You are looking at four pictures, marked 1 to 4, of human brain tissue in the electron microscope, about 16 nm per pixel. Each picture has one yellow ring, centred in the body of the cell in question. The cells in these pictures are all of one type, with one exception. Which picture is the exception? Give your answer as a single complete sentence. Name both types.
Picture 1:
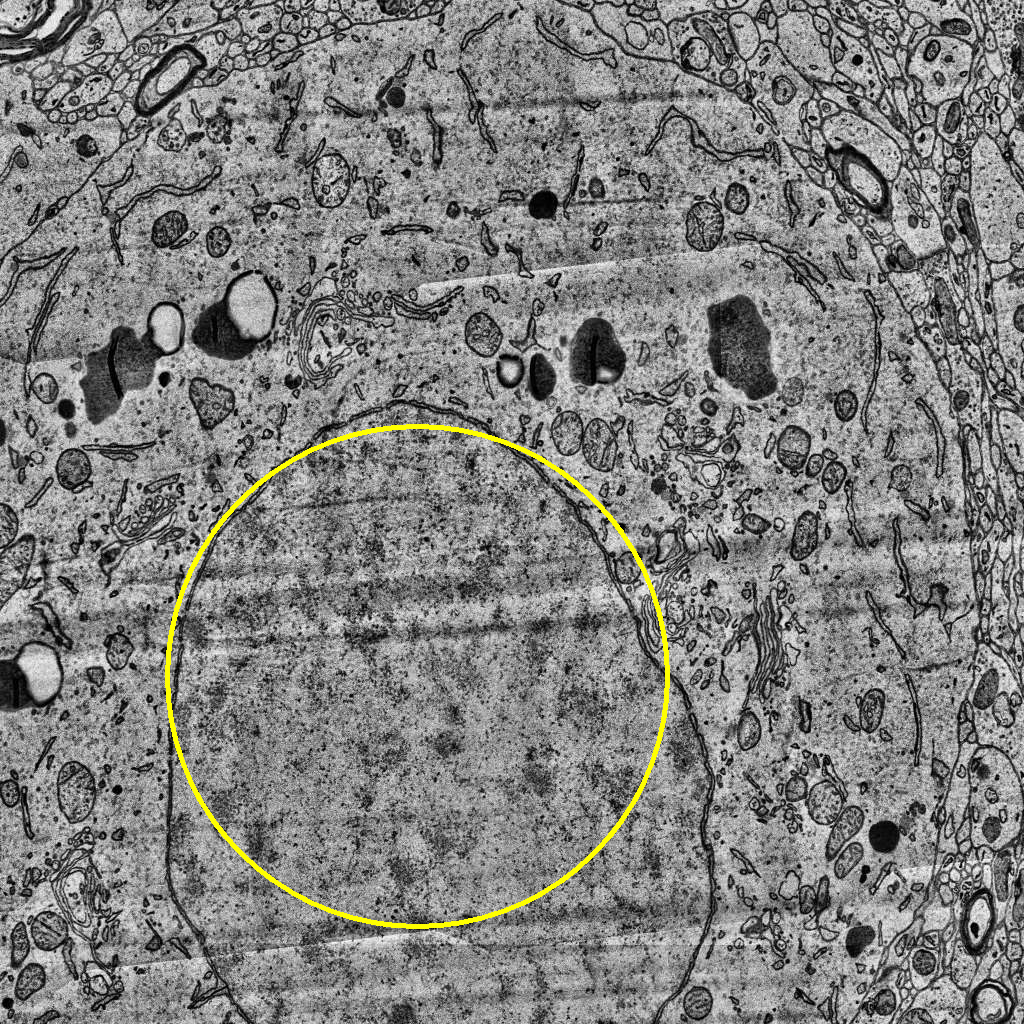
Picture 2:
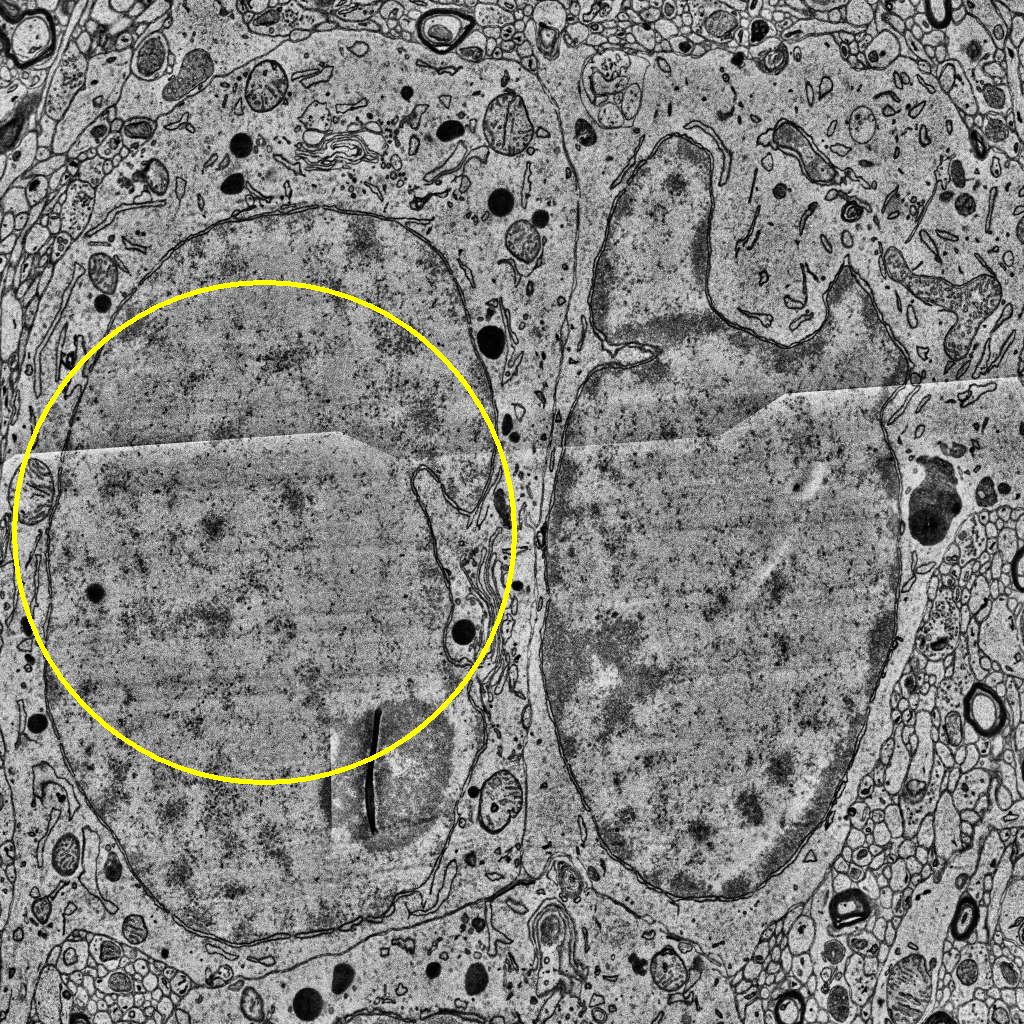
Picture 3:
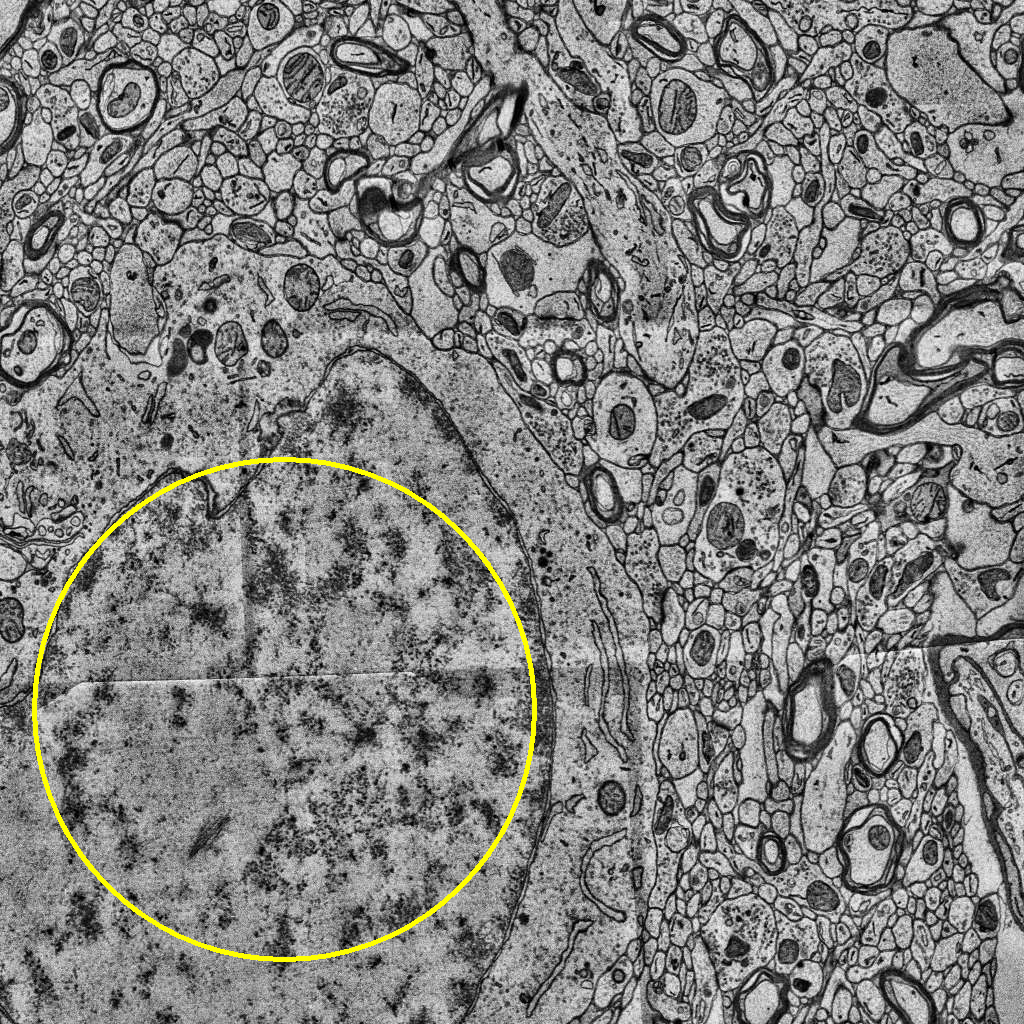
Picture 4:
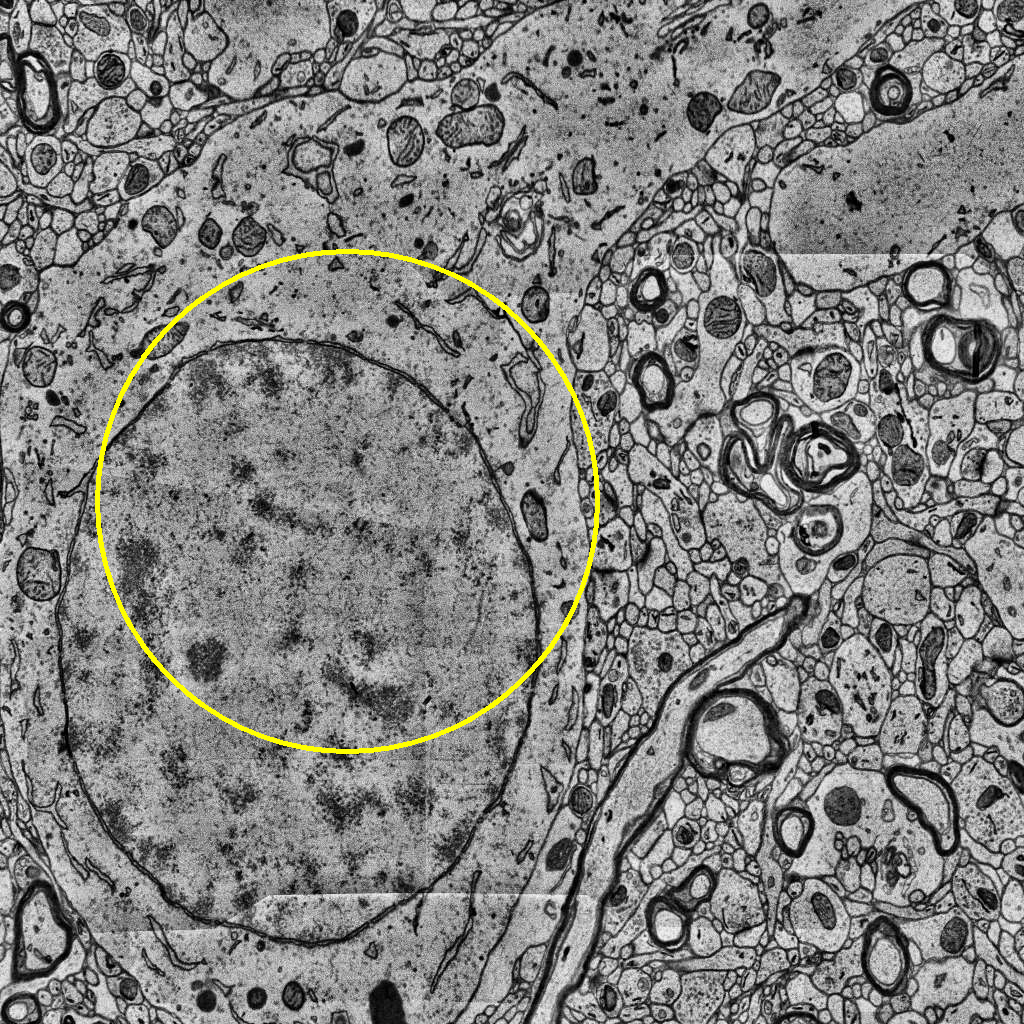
Picture 3 is the odd one out: it shows an interneuron, while the others show pyramidal neurons.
